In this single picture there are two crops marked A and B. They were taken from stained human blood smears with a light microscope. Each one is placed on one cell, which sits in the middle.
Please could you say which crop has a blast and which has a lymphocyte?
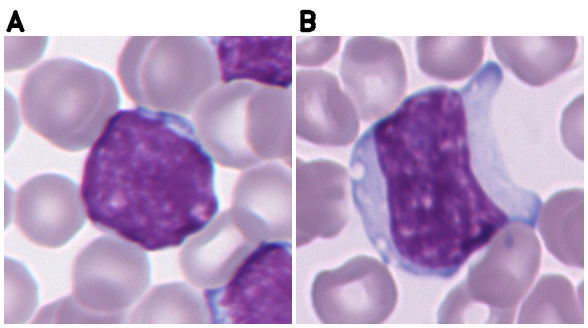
A: lymphocyte
B: blast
